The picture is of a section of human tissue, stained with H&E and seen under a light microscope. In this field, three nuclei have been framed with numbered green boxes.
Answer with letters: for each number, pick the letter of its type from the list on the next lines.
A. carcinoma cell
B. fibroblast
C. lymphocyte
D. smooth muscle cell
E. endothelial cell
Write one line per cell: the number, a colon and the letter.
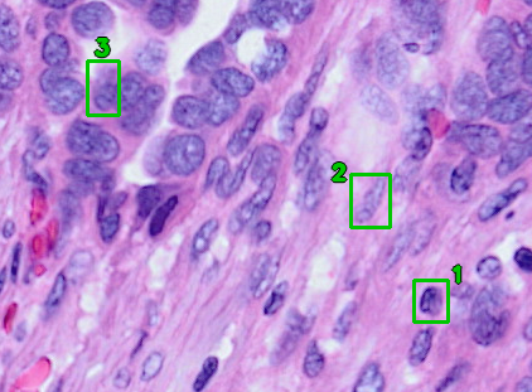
1: C
2: B
3: A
